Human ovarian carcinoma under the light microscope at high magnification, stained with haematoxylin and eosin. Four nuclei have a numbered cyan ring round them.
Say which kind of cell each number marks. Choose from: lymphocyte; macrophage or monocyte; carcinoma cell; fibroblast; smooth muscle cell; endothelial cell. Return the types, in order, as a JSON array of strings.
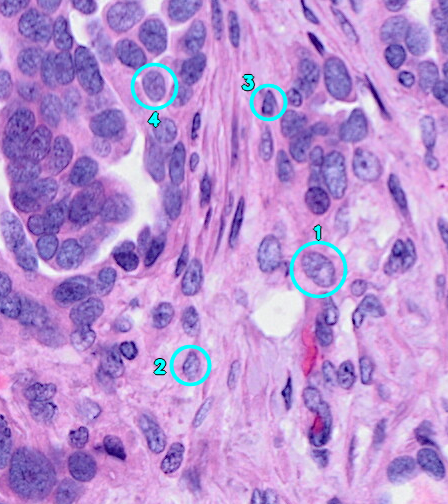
["fibroblast", "fibroblast", "fibroblast", "carcinoma cell"]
